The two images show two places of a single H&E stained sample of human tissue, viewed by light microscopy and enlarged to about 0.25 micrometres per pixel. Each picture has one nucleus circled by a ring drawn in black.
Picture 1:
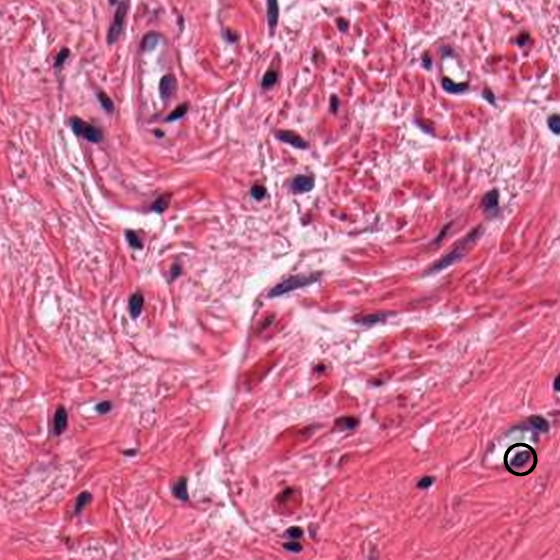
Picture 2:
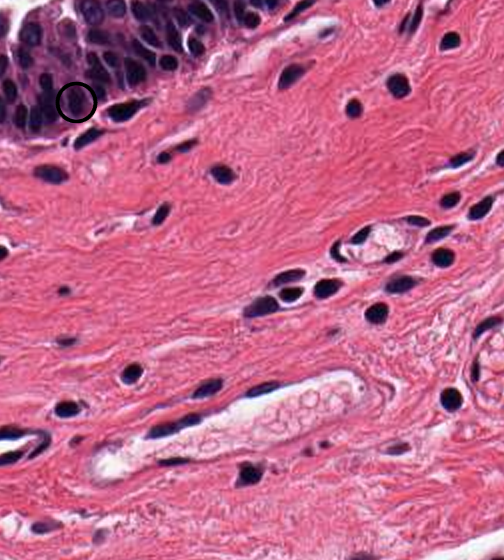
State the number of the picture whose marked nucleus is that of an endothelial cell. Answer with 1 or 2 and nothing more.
1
